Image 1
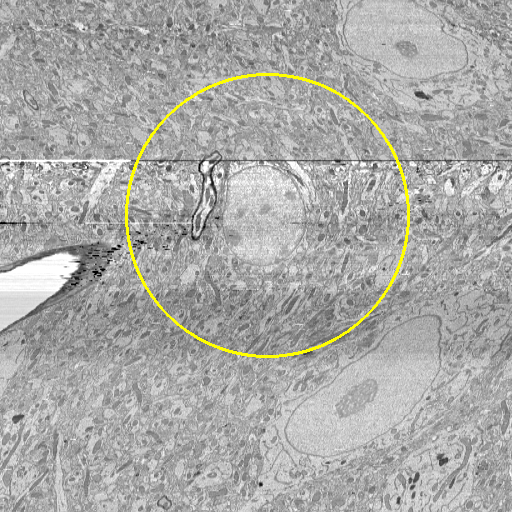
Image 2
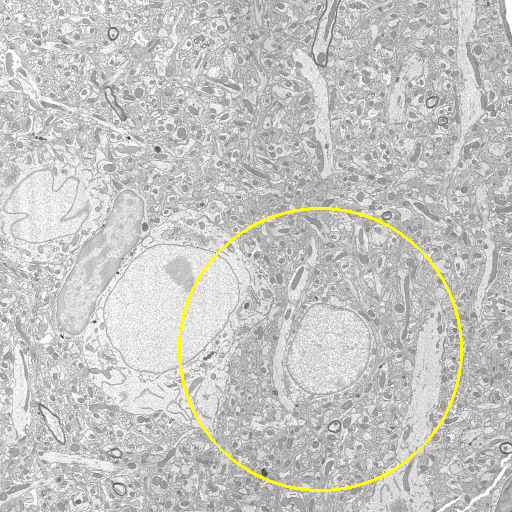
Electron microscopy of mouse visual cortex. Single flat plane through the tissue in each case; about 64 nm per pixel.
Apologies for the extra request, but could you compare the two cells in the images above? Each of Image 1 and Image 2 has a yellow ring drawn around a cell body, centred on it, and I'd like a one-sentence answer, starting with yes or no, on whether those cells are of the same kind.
Yes, both cells are of the same kind.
